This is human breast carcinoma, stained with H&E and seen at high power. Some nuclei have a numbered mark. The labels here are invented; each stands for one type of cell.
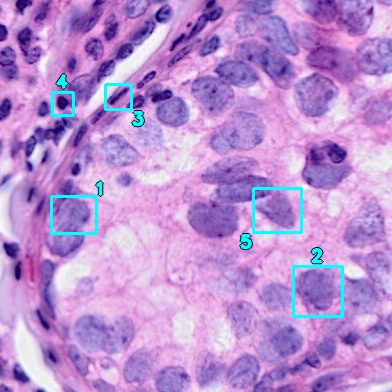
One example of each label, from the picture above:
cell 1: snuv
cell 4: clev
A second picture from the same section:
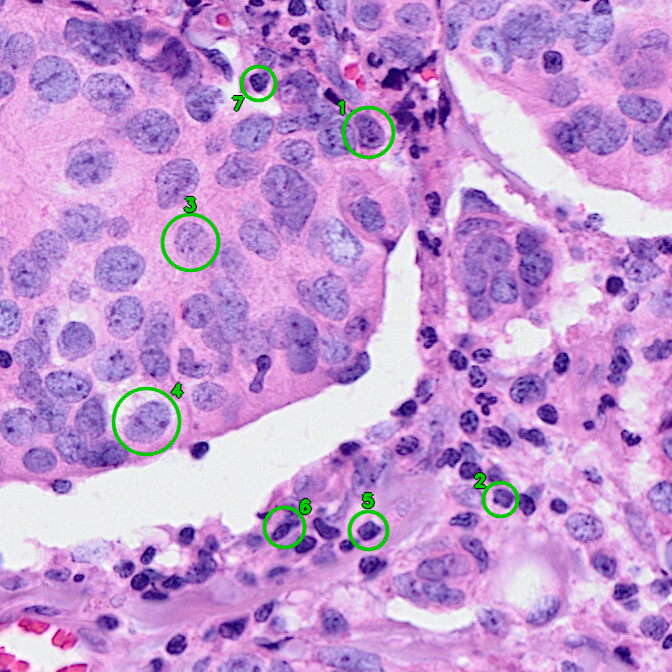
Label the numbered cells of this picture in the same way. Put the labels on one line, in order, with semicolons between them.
snuv; clev; snuv; snuv; clev; clev; clev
